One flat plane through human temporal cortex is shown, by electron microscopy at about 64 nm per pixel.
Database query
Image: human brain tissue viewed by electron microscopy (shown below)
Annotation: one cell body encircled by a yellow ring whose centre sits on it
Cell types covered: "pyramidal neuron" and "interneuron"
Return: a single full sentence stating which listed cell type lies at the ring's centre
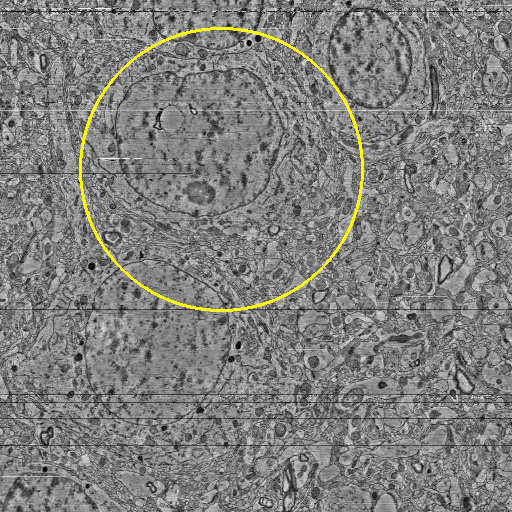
In the image, the cell lying at the ring's centre is a pyramidal neuron.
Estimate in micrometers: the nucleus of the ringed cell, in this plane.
Roughly 11 micrometers across, in this plane.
